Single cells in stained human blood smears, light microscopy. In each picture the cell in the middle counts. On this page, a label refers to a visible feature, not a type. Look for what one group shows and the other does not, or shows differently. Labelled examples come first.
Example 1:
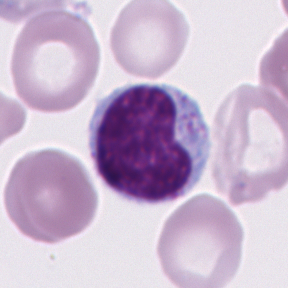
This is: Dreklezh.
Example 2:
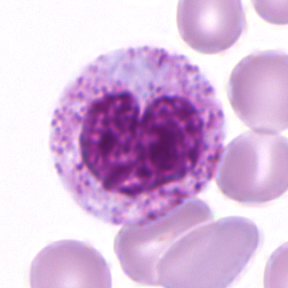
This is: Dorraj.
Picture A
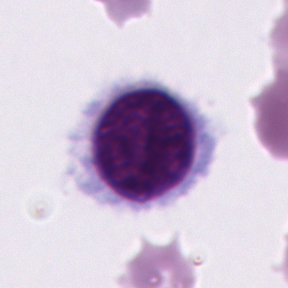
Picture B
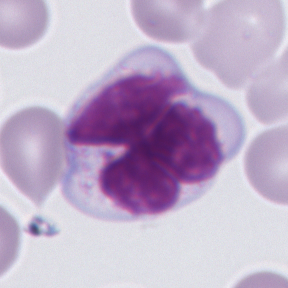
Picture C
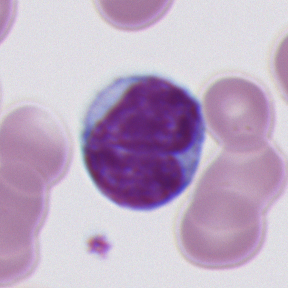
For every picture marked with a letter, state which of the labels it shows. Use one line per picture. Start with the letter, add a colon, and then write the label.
A: Dreklezh.
B: Dorraj.
C: Dorraj.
